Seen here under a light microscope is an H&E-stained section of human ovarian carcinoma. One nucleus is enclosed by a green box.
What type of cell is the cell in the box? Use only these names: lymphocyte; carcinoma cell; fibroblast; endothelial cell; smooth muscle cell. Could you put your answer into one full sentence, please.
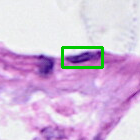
As for its identity, the cell in the box is an endothelial cell.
